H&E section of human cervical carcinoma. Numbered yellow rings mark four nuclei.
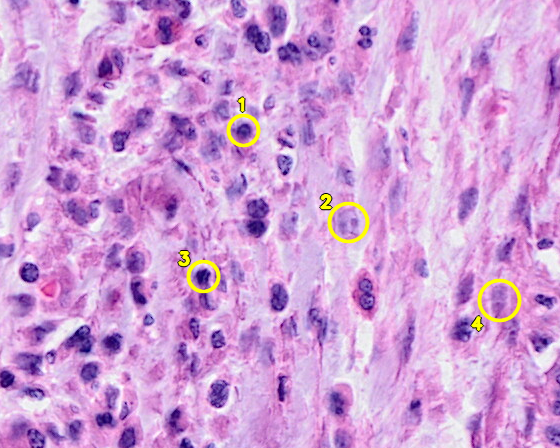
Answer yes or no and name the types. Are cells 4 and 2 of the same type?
Yes, going by number, cells 4 and 2 are both fibroblasts.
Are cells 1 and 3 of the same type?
Yes, cells 1 and 3 fall into the same group, both being lymphocytes.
